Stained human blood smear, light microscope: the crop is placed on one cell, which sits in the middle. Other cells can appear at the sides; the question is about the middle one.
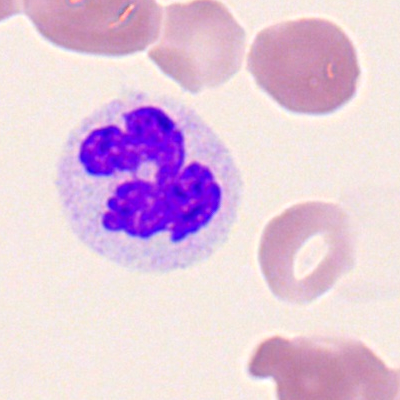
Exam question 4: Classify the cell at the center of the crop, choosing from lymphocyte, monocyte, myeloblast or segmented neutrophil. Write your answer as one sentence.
The cell centered in this field of view is a segmented neutrophil.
